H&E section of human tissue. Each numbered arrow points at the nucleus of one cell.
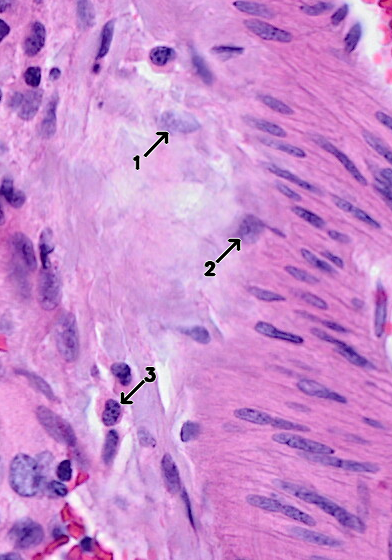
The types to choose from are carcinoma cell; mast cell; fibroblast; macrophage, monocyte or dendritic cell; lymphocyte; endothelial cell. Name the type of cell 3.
mast cell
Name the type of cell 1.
fibroblast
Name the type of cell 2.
fibroblast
